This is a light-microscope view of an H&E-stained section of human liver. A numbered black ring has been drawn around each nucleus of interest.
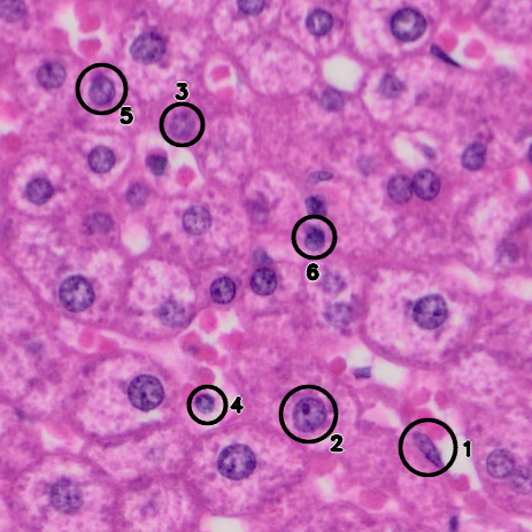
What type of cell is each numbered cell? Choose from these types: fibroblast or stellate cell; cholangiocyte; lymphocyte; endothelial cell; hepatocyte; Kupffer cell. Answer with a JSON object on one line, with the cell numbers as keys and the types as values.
{"1": "Kupffer cell", "2": "hepatocyte", "3": "hepatocyte", "4": "lymphocyte", "5": "hepatocyte", "6": "fibroblast or stellate cell"}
